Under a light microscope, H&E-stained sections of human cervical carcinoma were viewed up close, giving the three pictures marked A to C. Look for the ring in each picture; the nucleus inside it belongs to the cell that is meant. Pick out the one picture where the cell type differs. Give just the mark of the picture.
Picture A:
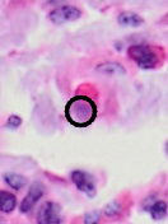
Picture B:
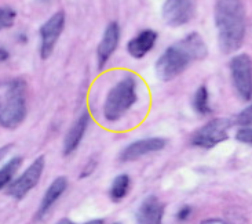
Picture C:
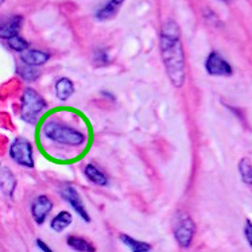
B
